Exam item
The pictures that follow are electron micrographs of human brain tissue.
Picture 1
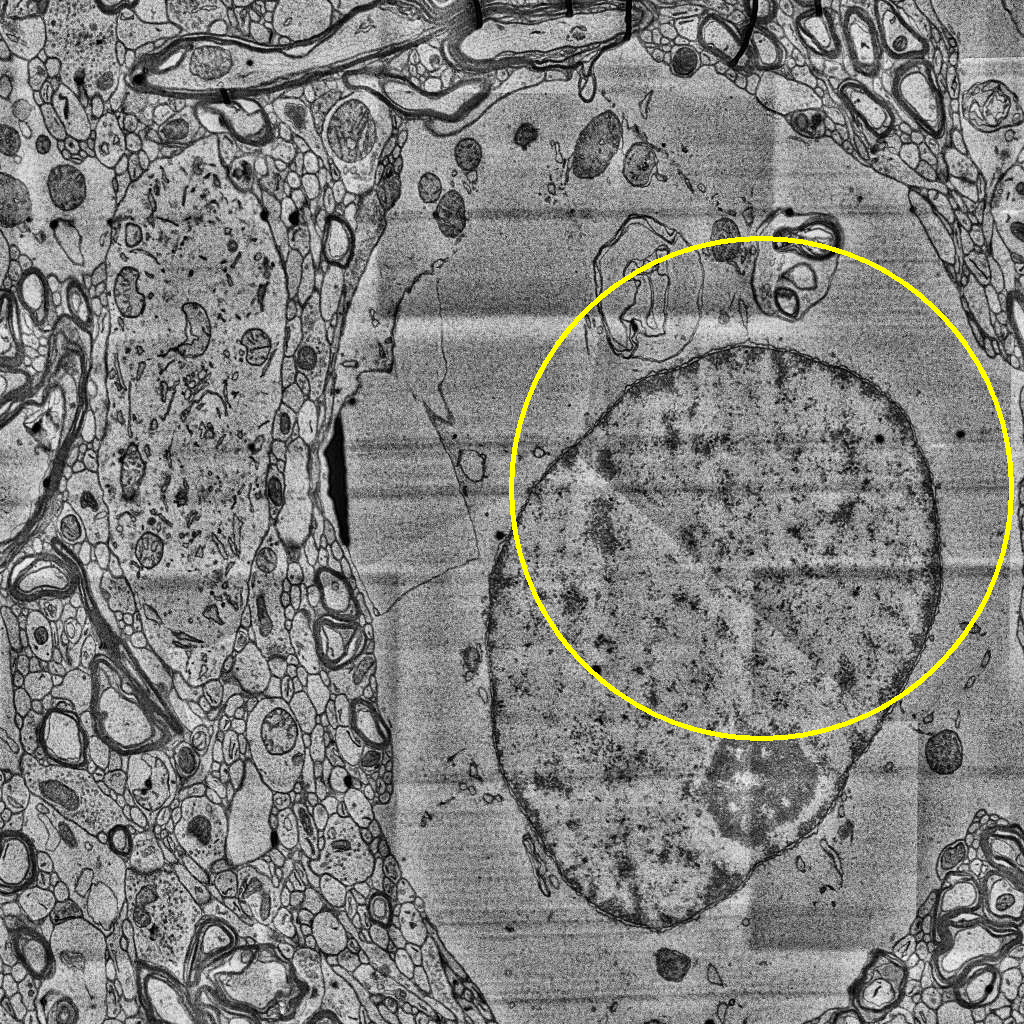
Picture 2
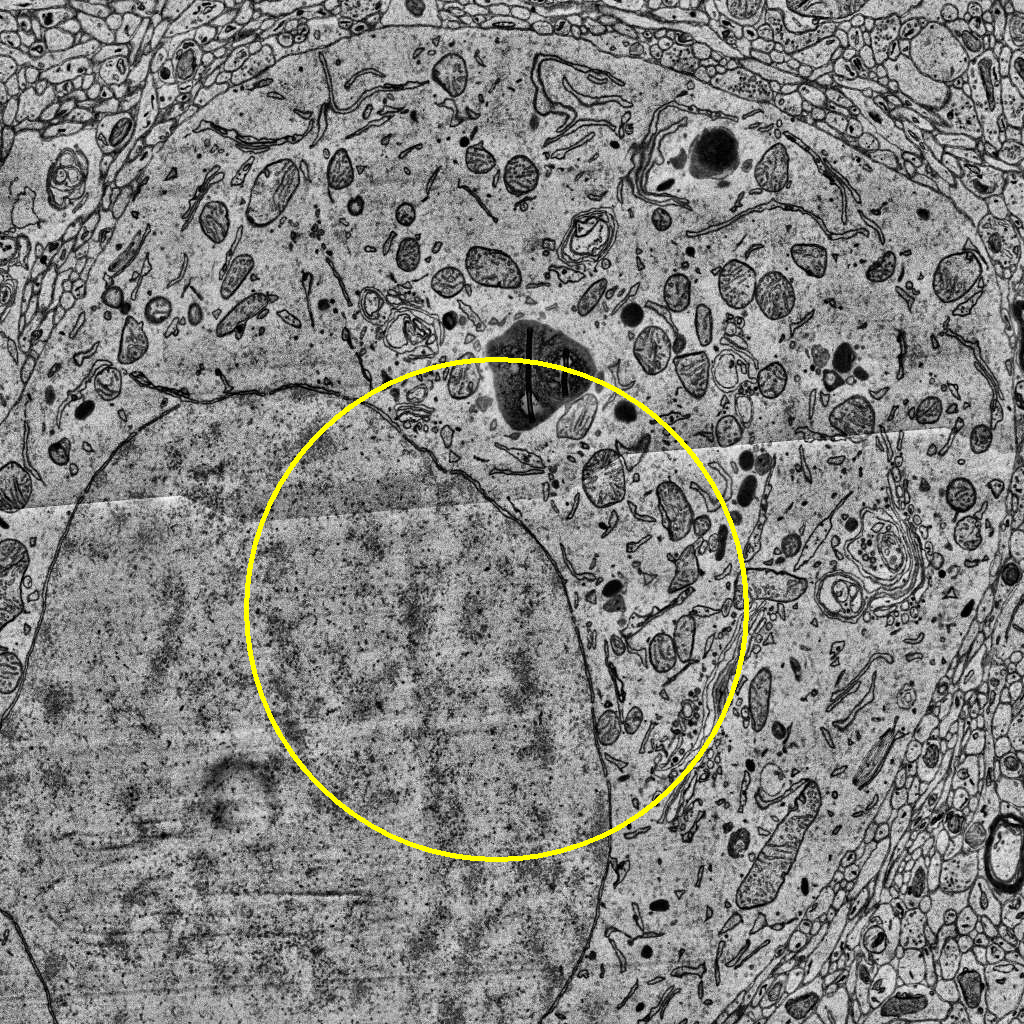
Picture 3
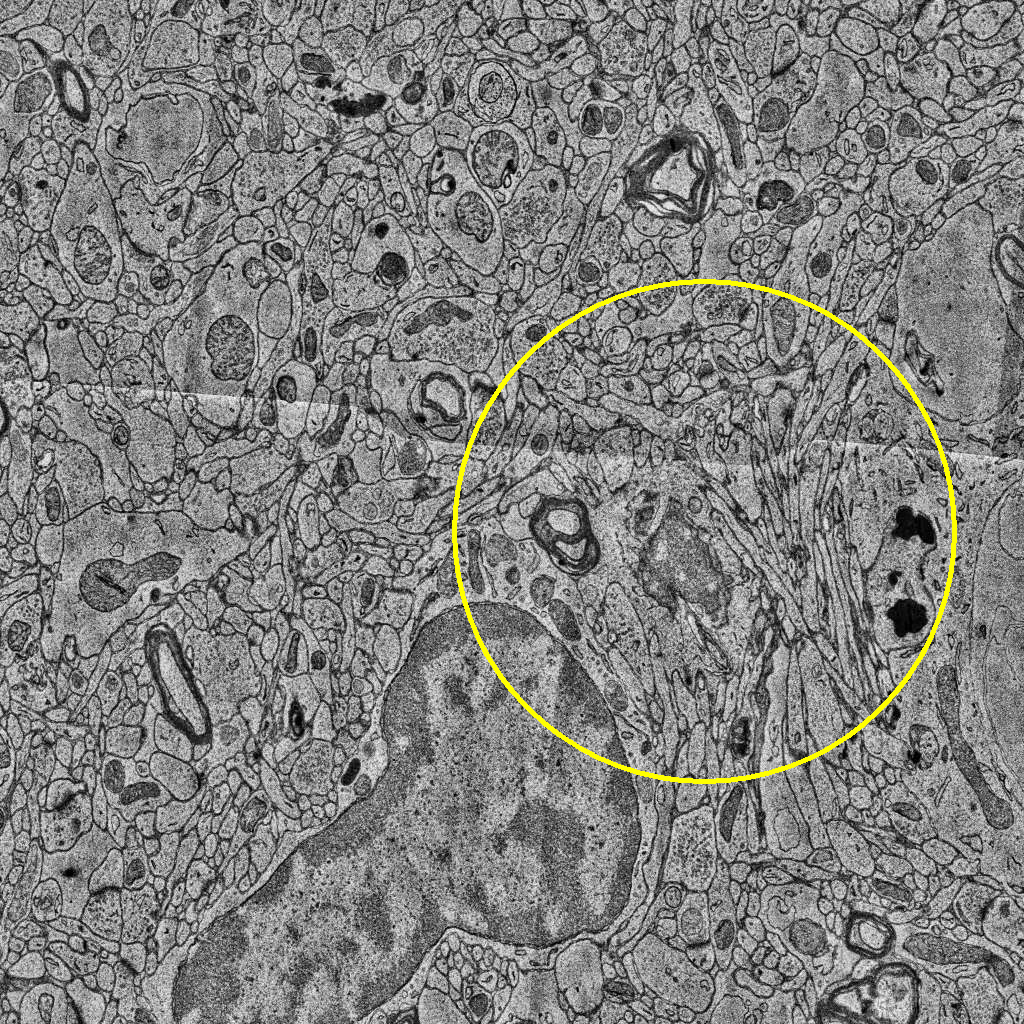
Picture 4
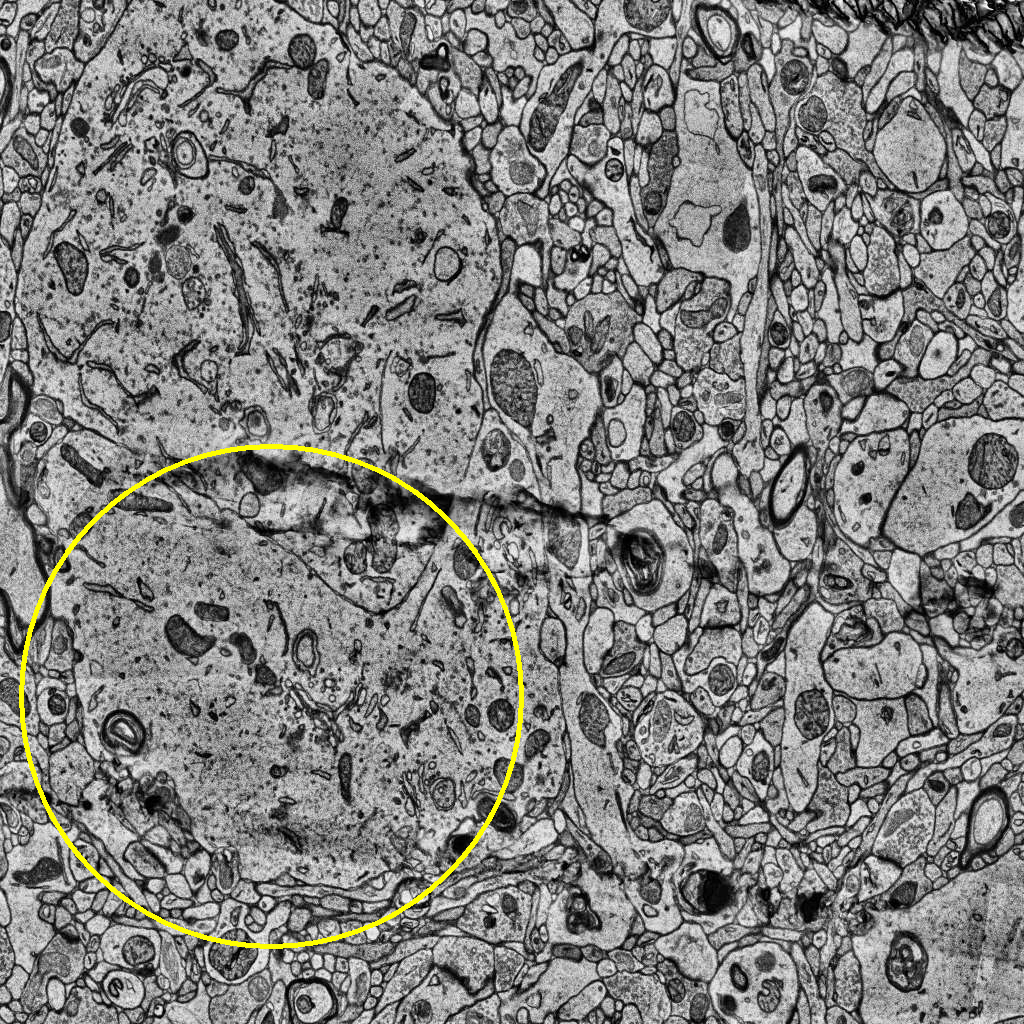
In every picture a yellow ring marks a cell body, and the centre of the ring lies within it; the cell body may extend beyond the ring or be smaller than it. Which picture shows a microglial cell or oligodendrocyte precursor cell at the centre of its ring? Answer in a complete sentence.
The cell at the centre of the ring in Picture 4 is the one asked for.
